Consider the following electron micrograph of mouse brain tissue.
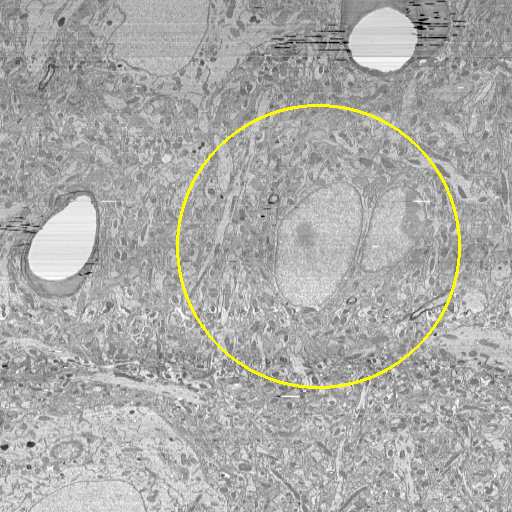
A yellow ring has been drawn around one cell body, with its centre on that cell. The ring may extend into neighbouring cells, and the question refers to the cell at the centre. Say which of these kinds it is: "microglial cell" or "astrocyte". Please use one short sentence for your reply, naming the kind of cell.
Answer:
The centre of the ring falls on an astrocyte.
